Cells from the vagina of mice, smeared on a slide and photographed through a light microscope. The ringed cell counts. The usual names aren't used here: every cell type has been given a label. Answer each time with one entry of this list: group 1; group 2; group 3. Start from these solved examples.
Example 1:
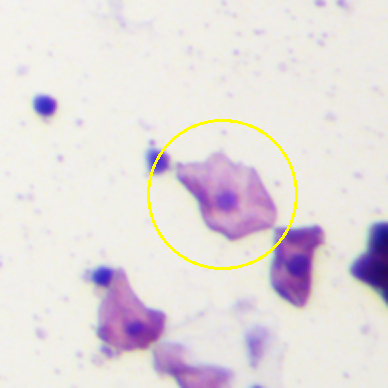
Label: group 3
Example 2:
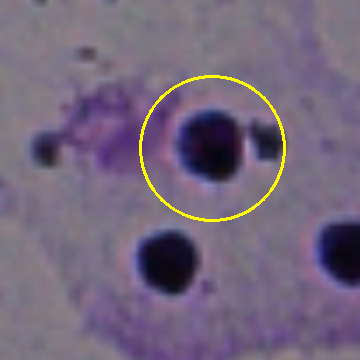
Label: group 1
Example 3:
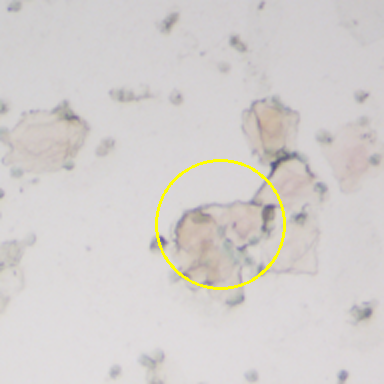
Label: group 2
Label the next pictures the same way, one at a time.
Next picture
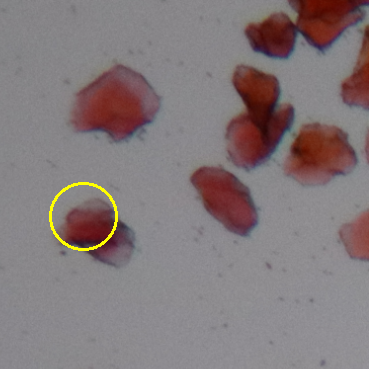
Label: group 2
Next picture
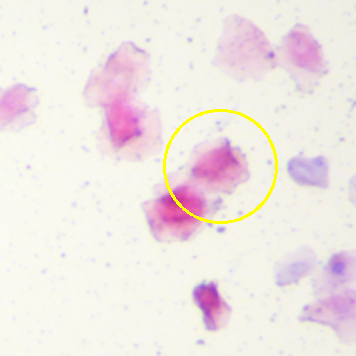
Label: group 2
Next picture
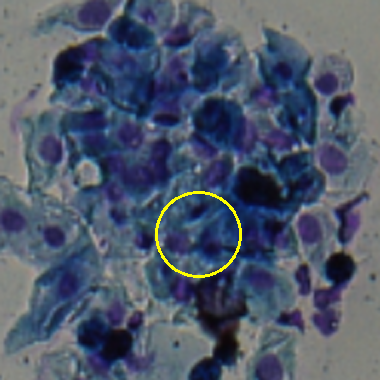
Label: group 3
